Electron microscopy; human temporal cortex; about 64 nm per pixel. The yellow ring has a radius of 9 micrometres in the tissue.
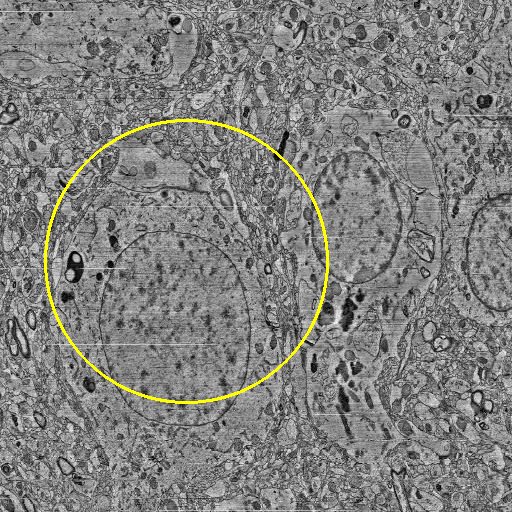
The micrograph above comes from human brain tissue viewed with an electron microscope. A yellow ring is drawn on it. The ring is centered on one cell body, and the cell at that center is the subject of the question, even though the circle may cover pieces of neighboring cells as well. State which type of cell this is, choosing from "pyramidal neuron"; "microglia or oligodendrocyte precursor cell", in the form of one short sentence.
The cell the ring is centered on is a pyramidal neuron.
